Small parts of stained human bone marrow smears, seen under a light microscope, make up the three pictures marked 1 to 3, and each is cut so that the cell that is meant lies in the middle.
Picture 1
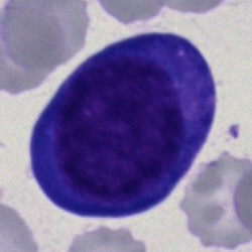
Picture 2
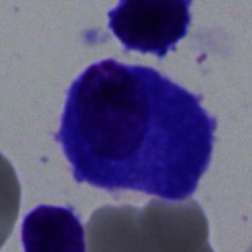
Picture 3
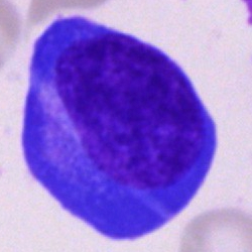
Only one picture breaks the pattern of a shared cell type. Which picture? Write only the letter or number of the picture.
1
